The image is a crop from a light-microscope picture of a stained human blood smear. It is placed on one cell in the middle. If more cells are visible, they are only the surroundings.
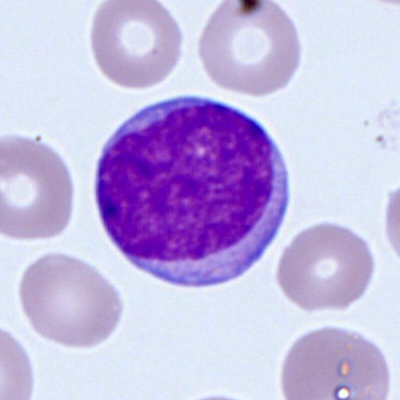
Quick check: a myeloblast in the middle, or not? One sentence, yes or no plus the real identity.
Yes, the cell at the center of the crop is a myeloblast.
